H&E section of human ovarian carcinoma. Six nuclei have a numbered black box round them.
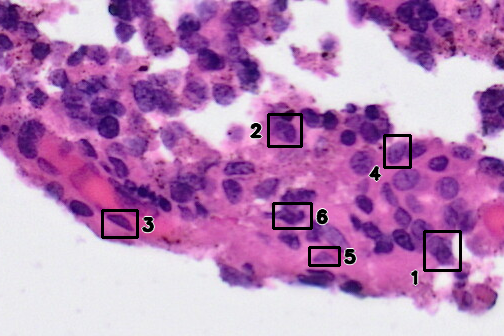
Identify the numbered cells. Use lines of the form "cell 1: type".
cell 1: carcinoma cell
cell 2: carcinoma cell
cell 3: endothelial cell
cell 4: carcinoma cell
cell 5: endothelial cell
cell 6: carcinoma cell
